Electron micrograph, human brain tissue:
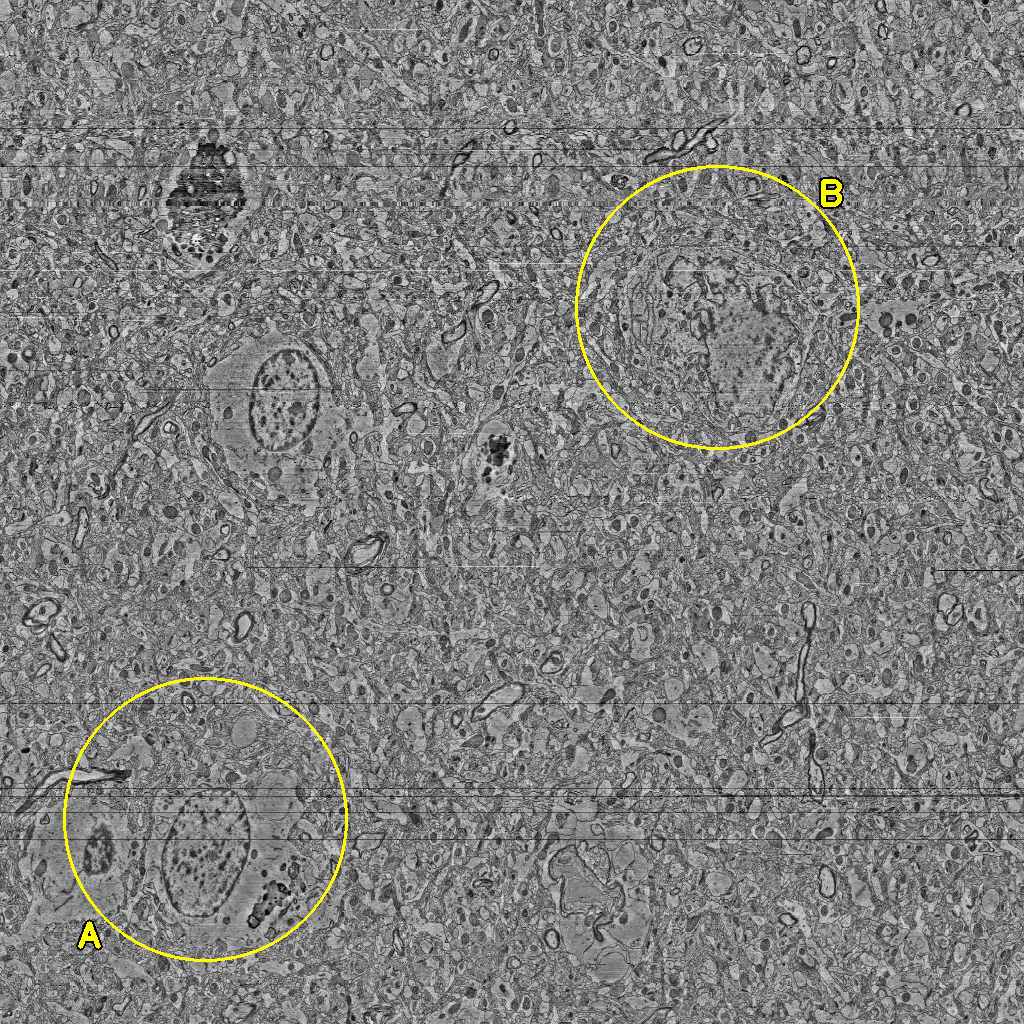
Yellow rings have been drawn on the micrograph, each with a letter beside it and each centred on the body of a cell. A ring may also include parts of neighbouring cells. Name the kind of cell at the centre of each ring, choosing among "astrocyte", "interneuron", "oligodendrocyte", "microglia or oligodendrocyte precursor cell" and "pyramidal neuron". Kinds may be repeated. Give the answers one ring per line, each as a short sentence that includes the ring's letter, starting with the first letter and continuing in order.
Ring A is placed on an astrocyte.
Ring B is placed on an interneuron.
